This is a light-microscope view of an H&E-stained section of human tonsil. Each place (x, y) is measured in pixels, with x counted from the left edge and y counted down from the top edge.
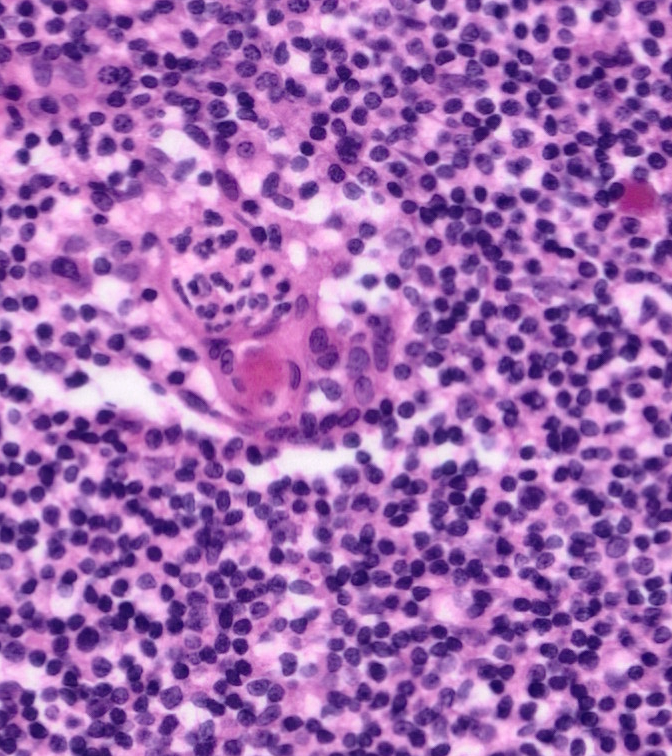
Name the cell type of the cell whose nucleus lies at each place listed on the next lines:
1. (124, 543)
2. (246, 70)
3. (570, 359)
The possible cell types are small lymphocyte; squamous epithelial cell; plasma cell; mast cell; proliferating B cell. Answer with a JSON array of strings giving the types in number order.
["small lymphocyte", "plasma cell", "small lymphocyte"]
